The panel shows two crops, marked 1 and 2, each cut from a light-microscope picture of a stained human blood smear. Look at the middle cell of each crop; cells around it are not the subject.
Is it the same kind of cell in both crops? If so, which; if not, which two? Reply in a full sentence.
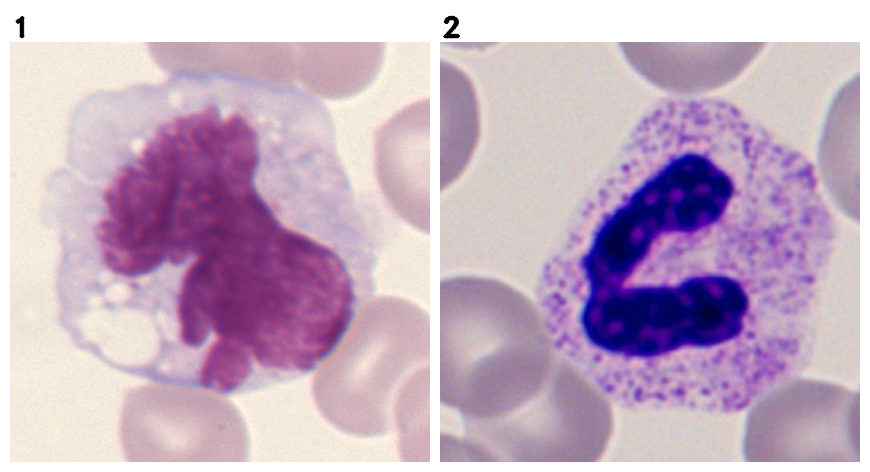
No, it is a monocyte that crop 1 shows, and a neutrophil that crop 2 shows.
